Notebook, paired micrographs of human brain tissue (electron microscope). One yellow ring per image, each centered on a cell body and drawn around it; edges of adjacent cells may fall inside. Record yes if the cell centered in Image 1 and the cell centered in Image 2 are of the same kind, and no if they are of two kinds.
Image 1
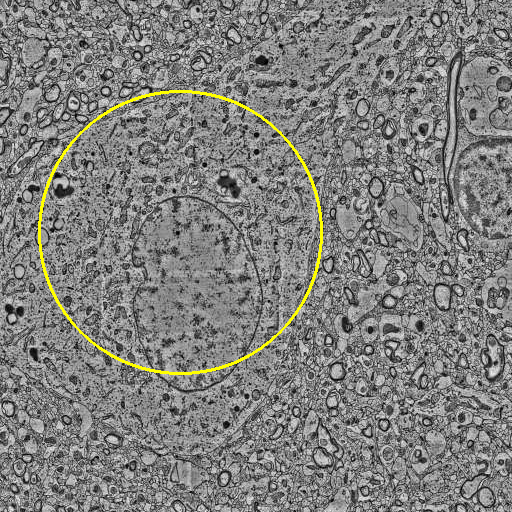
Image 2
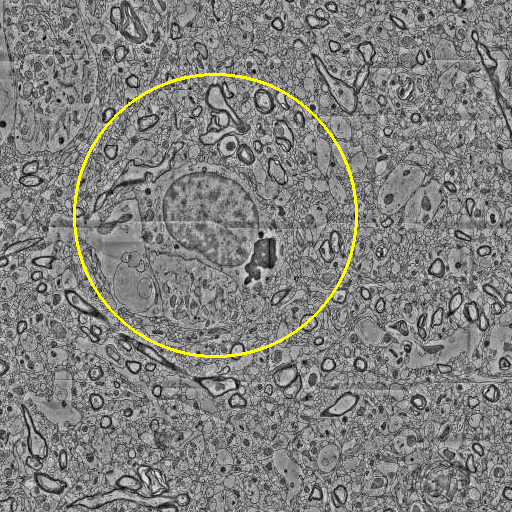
no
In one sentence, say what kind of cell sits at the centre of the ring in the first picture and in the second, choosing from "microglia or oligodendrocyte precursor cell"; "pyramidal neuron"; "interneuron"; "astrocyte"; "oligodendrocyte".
The first picture's ringed cell is a pyramidal neuron, while the second picture's is an oligodendrocyte.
